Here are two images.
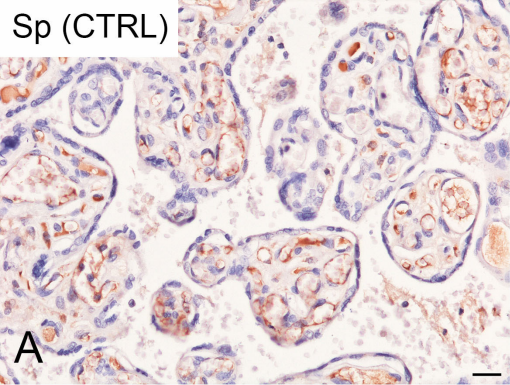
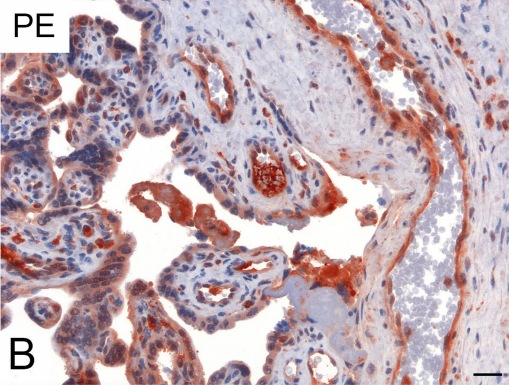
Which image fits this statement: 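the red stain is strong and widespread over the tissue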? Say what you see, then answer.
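The second image. Second image: intense red deposits line the villous surfaces, fill a vessel and coat a large vessel wall. First image: red is faint and confined mostly to small vessels in the villous cores.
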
